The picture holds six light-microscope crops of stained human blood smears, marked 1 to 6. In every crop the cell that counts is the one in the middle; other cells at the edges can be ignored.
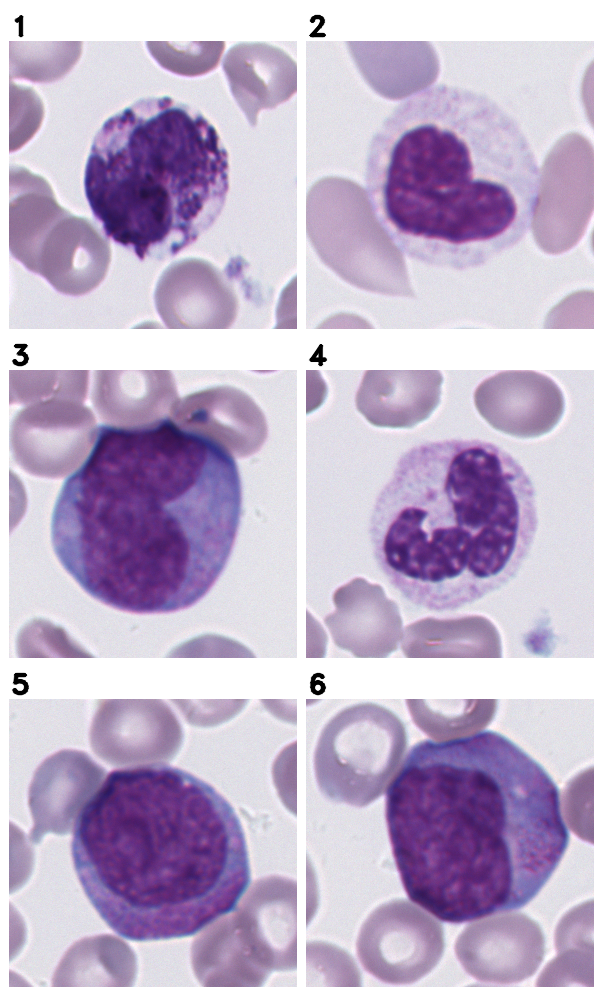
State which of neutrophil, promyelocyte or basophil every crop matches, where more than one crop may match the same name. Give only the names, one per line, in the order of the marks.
basophil
neutrophil
promyelocyte
neutrophil
promyelocyte
promyelocyte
